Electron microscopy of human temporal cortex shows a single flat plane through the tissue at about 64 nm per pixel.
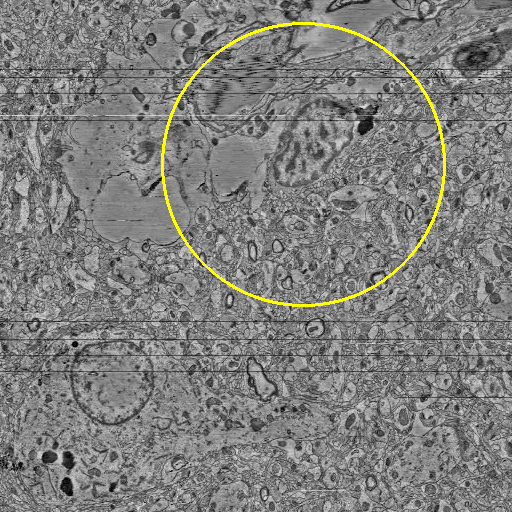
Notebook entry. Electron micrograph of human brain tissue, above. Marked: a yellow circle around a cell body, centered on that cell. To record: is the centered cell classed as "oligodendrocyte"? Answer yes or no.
Yes, the centered cell is classed that way.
